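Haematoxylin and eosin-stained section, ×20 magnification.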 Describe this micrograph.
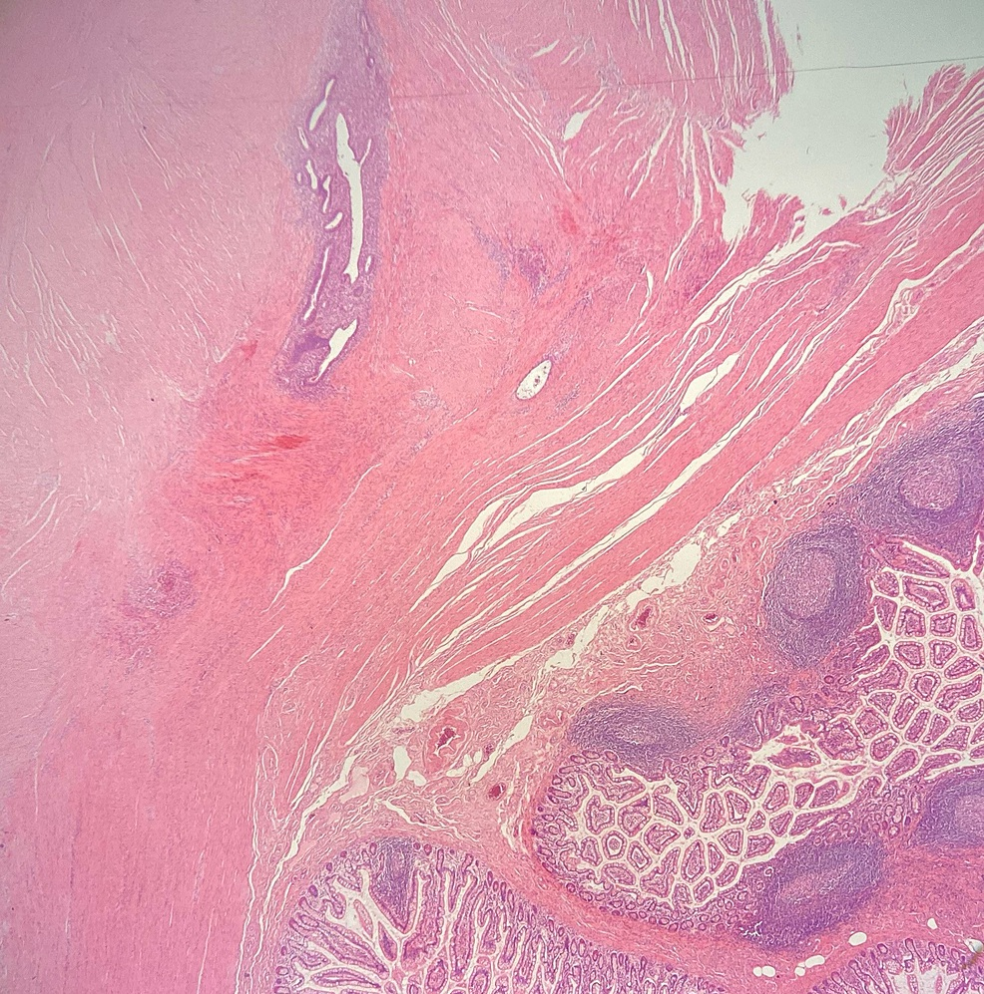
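This low-power view shows a section of the small bowel wall, with the mucosa in the lower right and the thick muscularis propria spreading across the rest of the field. The mucosa is made of crypts cut in cross-section and lined by columnar epithelium, with rounded dark-purple lymphoid follicles at its base, and it looks orderly. Beyond a thin submucosa, broad pink bundles of smooth muscle run in different directions. In the upper left, within this muscle, lies a focus of slit-like and branching glandular spaces, each set in a cuff of dense, cellular, purple stroma.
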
